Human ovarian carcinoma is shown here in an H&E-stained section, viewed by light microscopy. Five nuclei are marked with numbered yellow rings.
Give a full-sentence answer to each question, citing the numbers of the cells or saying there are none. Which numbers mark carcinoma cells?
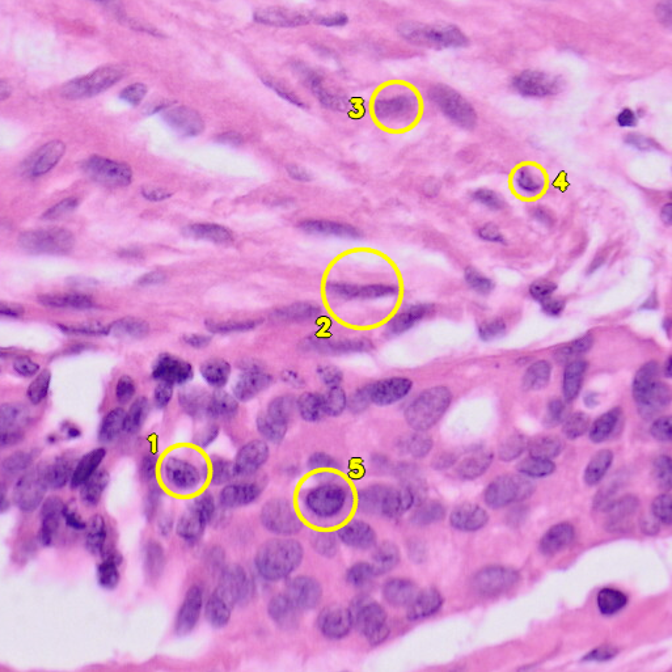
Unlike the other numbered cells, cell 5 is a carcinoma cell.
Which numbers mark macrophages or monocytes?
Cell 1 is a macrophage or monocyte, while all remaining marked cells are of other types.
